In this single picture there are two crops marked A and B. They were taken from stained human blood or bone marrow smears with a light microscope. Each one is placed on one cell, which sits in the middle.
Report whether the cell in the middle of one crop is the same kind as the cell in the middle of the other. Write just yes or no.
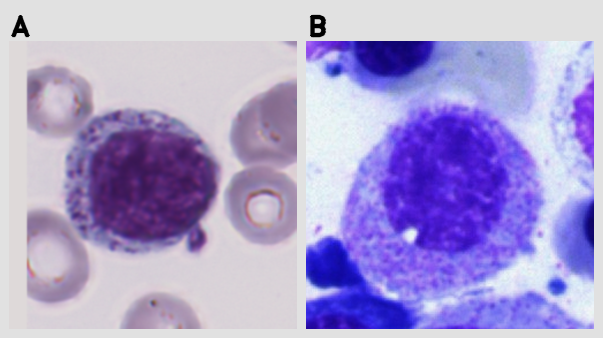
yes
